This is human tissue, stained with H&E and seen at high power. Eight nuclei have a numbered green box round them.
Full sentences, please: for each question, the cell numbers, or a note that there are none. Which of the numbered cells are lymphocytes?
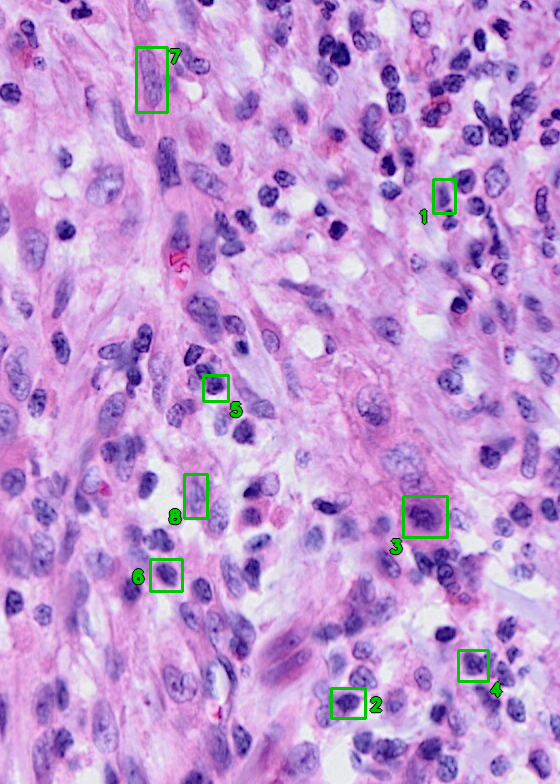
Classified as lymphocytes are the cells numbered 1, 2, 4, 5 and 6.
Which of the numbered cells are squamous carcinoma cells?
Only the cell at mark 3 is a squamous carcinoma cell, and no other marked cell is.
